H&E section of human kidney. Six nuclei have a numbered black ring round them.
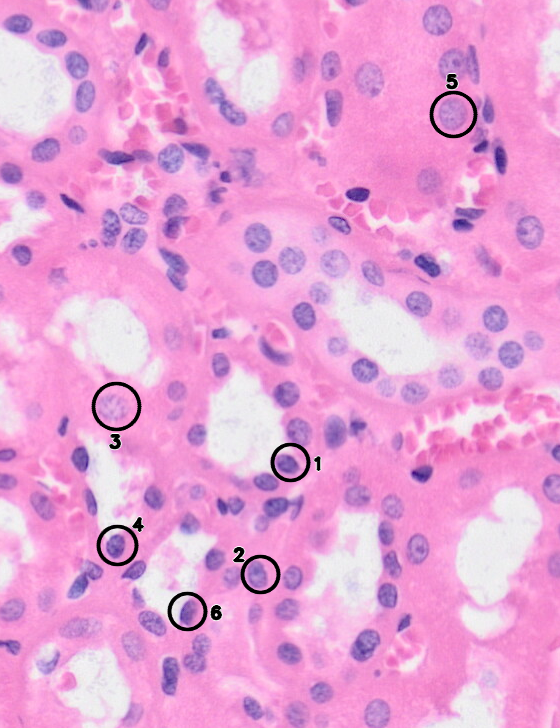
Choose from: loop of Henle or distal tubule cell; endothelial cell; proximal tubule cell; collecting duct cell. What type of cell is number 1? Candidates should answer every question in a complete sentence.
The cell numbered 1 represents a loop of Henle or distal tubule cell.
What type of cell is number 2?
Identified as a loop of Henle or distal tubule cell is the cell bearing the number 2.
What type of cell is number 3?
Within this field of view, the cell labelled 3 is a proximal tubule cell.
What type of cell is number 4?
Among the marked nuclei, number 4 belongs to a loop of Henle or distal tubule cell.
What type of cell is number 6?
The correct answer for cell 6 is a loop of Henle or distal tubule cell.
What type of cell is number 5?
The cell numbered 5 represents a proximal tubule cell.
